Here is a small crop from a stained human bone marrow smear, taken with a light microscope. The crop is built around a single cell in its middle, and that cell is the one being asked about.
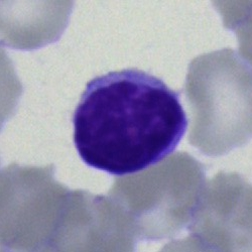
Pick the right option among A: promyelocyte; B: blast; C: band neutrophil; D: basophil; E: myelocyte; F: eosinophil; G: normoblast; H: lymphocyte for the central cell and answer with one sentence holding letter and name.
The correct option here is H; the middle cell is a lymphocyte.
